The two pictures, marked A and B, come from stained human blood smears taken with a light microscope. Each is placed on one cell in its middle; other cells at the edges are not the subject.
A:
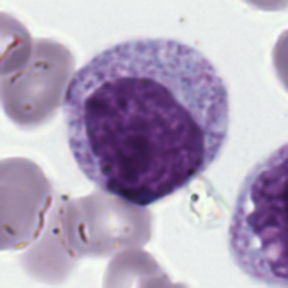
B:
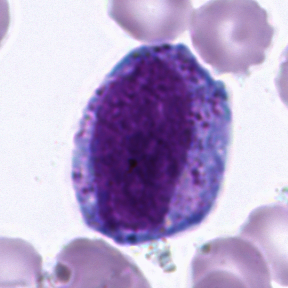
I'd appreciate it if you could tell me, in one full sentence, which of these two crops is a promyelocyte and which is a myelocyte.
The centred cell is a myelocyte in crop A and a promyelocyte in crop B.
